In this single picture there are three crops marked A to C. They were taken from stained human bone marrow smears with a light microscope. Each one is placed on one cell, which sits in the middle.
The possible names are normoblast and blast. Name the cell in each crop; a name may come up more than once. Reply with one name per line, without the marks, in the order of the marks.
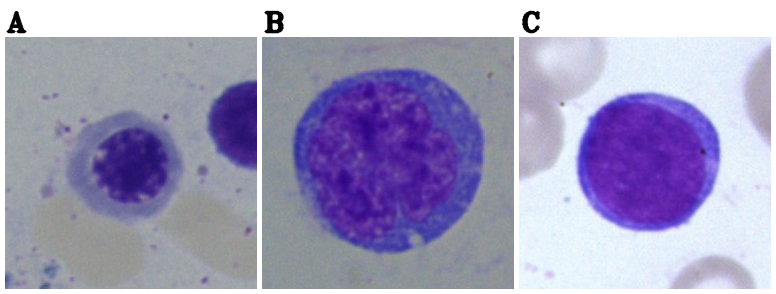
normoblast
blast
blast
